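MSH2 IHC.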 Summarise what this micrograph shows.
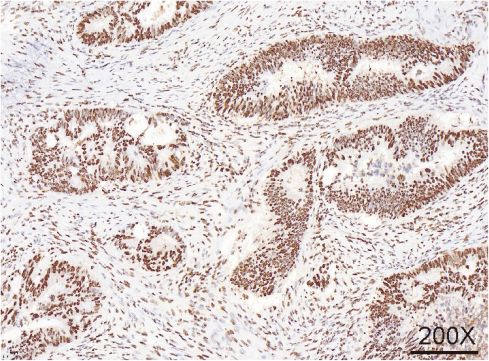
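Glandular epithelium with surrounding stroma. Irregular, elongated and branching glands are lined by crowded, stratified columnar cells whose elongated nuclei are packed in several layers and stain strongly brown, while the cytoplasm toward the lumens stays pale. The lumens are irregular and contain pale debris. Between the glands lies a cellular stroma of spindle-shaped cells in loose streaming bundles; many of their elongated nuclei are also stained brown, others are blue. The stroma is pale and fibrous, and the epithelial nuclear staining is darker and denser than that of the stroma.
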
